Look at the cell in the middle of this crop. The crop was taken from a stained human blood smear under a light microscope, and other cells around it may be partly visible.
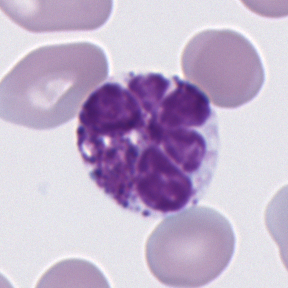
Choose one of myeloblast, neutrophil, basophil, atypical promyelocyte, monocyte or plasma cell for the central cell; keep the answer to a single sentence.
The middle position in this crop is taken by a basophil.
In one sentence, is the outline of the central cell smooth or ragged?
The border of this cell runs smooth and free of any projections.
